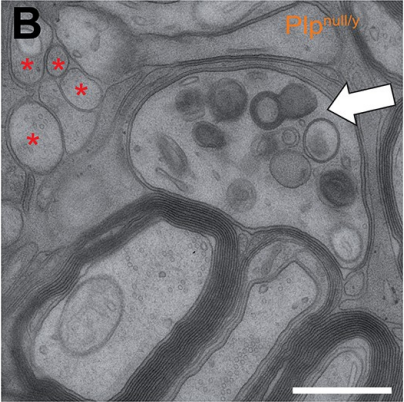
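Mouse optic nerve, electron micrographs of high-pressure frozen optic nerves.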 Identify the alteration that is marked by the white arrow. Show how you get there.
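The marked profile is enlarged and surrounded by a thin sheath. It is packed with dark dense bodies and membranous vesicles instead of clear axoplasm. The answer: axonal spheroid.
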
